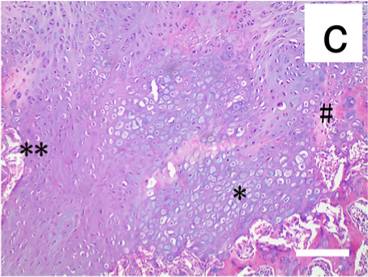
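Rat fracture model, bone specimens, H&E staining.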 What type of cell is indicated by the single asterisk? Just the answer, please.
Chondrocytes.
